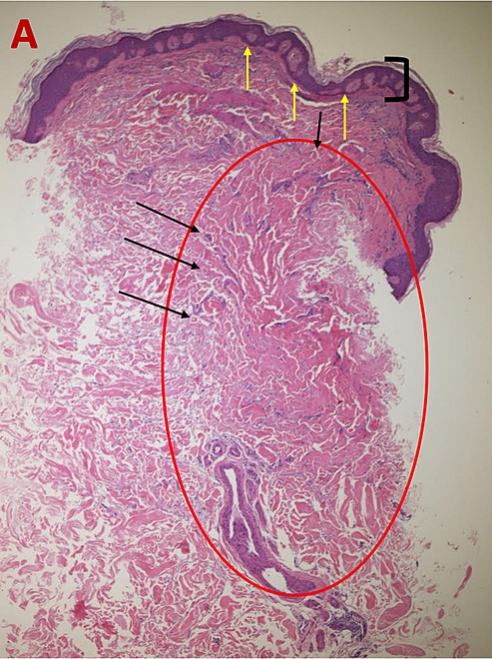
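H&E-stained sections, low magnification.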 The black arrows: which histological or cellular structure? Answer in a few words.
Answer: Trapped collagen bundles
